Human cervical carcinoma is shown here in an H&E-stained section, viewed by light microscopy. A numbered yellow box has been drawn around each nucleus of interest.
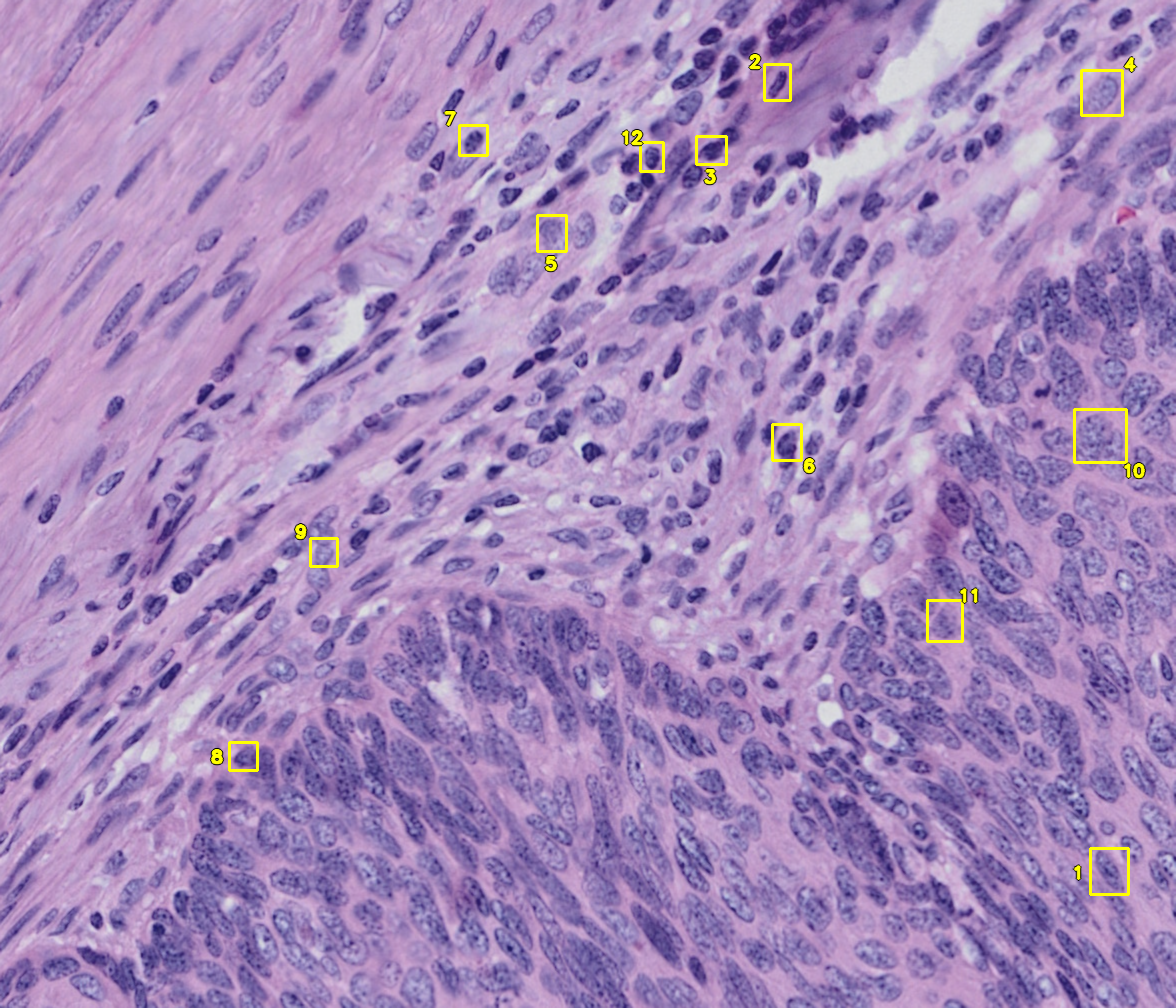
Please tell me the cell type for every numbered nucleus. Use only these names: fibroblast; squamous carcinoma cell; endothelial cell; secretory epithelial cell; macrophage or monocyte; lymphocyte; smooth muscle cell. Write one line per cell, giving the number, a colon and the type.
1: squamous carcinoma cell
2: lymphocyte
3: lymphocyte
4: endothelial cell
5: endothelial cell
6: lymphocyte
7: lymphocyte
8: squamous carcinoma cell
9: endothelial cell
10: squamous carcinoma cell
11: squamous carcinoma cell
12: lymphocyte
